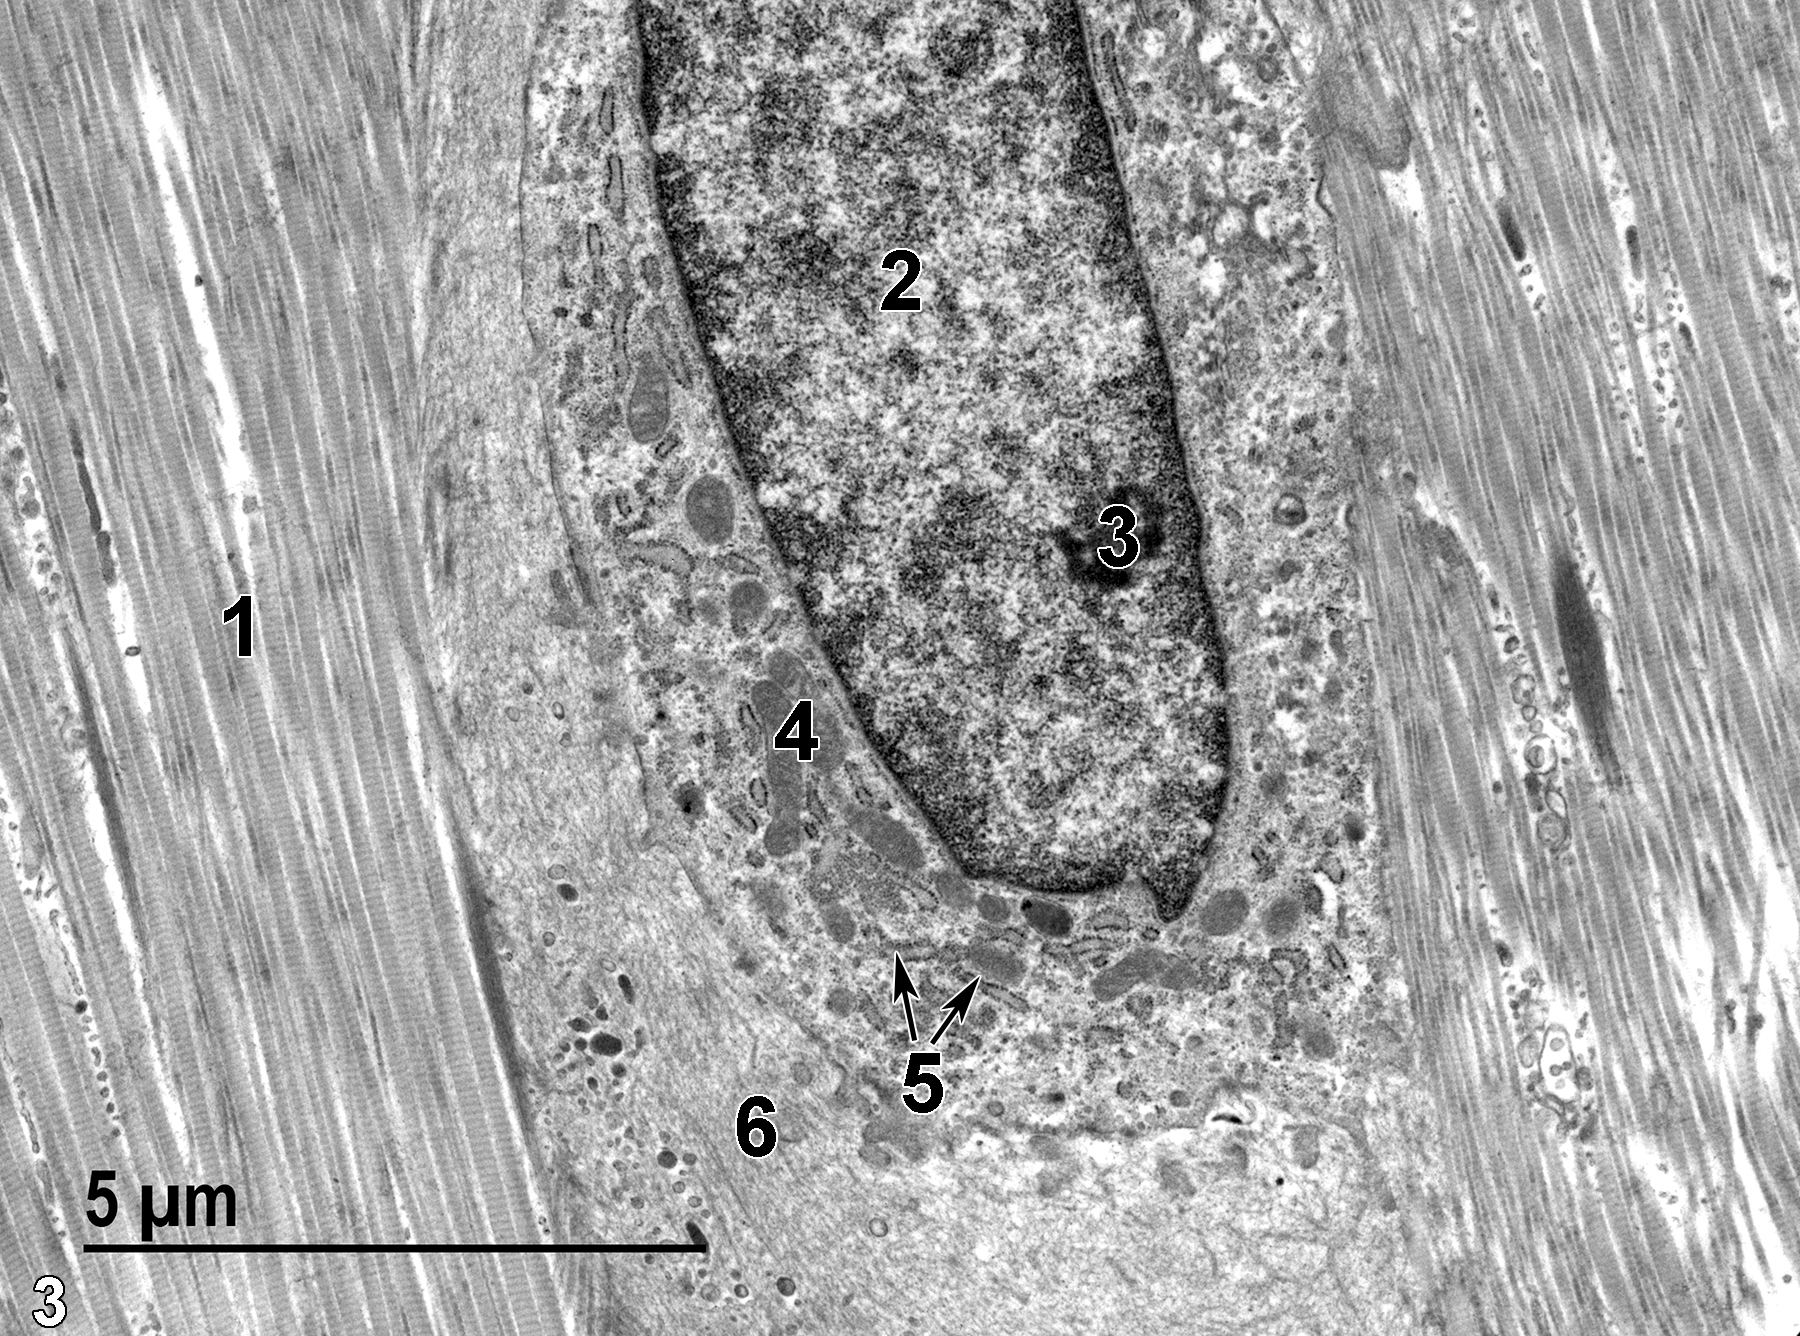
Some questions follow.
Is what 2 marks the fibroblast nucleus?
Yes.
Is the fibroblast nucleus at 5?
No, 5 marks the rough endoplasmic reticulum.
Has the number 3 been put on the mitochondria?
No: the nucleolus.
